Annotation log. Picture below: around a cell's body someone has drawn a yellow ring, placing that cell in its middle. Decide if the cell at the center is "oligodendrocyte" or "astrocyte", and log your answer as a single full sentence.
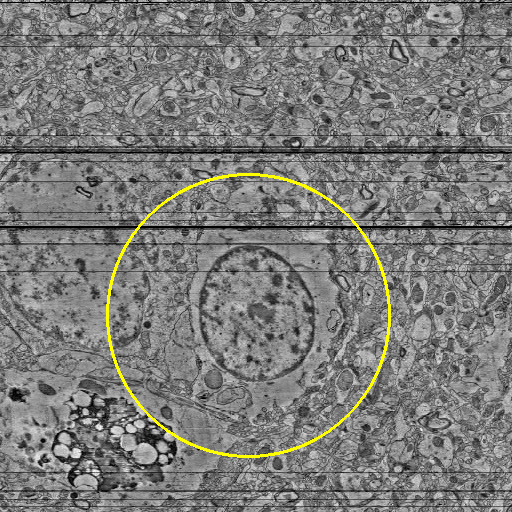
My entry records an astrocyte as the cell sitting at the center of the yellow ring.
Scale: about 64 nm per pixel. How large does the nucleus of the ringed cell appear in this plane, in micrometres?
In this plane, roughly 9 by 7 micrometres.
